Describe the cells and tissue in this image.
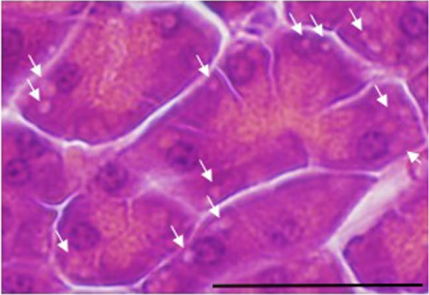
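Exocrine pancreas with acinar cells stained pink and purple, showing vacuole formation. Polygonal cells form acini with a granular orange-pink zone of secretory granules toward the centre and round nuclei toward the outer side. Many small round clear vacuoles lie in the cytoplasm, mostly near the cell borders, some singly and some in pairs. White arrows point to these vacuoles. White spaces separate neighbouring acini.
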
